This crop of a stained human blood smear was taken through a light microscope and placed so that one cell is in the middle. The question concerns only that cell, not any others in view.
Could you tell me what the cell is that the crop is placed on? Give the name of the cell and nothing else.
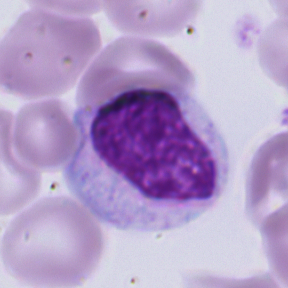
metamyelocyte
